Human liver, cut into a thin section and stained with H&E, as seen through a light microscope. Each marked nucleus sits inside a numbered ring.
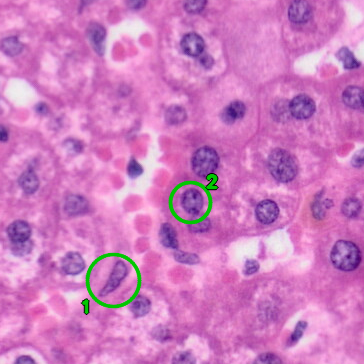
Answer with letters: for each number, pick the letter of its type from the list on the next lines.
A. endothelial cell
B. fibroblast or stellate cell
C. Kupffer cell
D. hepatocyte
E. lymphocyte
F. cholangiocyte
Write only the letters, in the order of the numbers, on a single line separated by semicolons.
C; D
